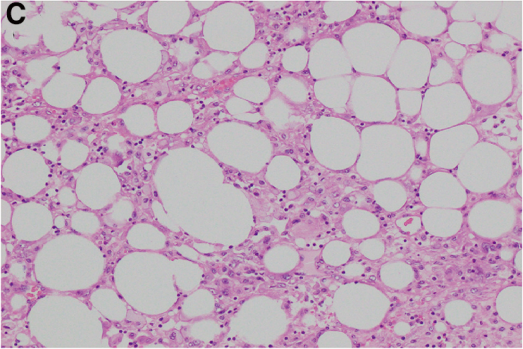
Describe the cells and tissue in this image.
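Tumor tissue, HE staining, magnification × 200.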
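In the tissue between them lie plumper cells with pink cytoplasm and rounded, dark purple nuclei, arranged in sheets and cords rather than in any organized layers. Scattered among these are small, dark, round nuclei that likely belong to inflammatory cells. The overall picture is of fat cells embedded in a cellular pink stroma.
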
